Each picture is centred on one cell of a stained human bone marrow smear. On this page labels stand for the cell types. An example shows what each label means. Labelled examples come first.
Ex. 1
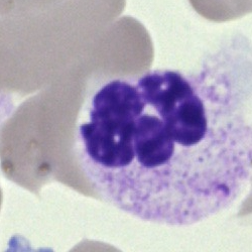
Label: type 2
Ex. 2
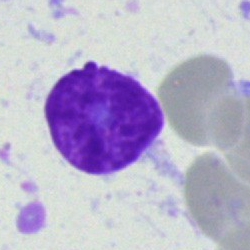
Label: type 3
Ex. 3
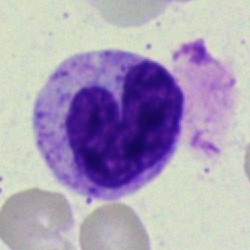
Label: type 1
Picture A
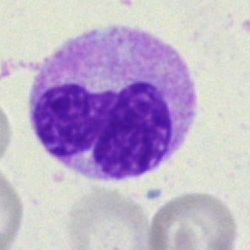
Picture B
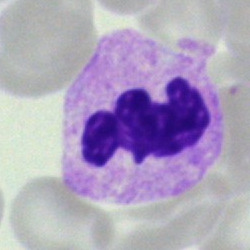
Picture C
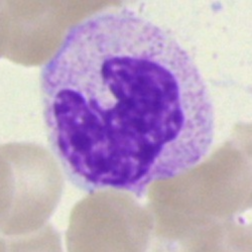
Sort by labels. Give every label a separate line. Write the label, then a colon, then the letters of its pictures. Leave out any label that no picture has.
type 2: B
type 1: A, C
